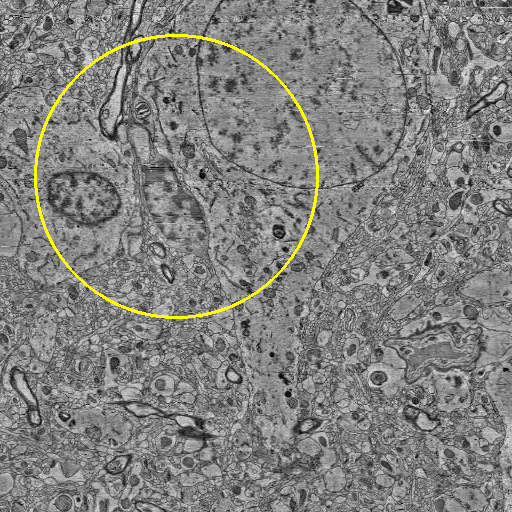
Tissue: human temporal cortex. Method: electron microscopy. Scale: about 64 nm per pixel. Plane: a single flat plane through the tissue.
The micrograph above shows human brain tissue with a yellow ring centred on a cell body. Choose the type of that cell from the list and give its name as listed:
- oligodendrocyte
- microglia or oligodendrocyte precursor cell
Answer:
oligodendrocyte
